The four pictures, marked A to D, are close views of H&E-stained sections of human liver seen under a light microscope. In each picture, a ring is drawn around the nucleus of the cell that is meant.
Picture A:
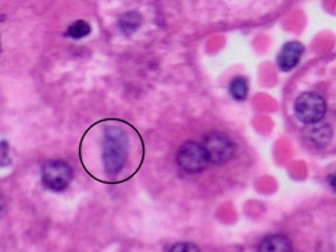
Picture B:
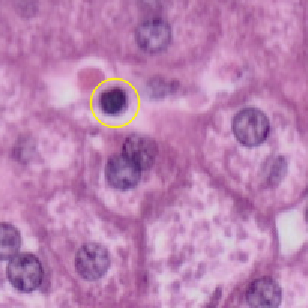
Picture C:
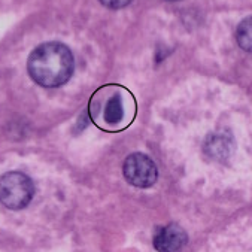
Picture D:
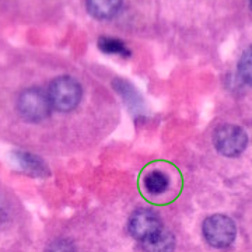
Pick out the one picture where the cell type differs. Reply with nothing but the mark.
A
